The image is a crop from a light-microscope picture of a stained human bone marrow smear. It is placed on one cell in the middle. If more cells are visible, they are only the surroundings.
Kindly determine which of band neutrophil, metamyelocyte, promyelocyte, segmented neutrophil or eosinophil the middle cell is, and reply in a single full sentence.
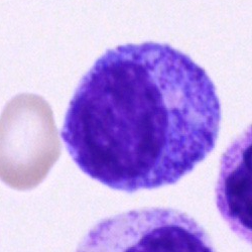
In this crop, the cell at the very middle is a promyelocyte.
